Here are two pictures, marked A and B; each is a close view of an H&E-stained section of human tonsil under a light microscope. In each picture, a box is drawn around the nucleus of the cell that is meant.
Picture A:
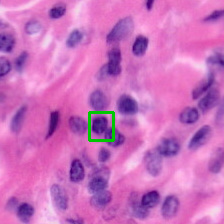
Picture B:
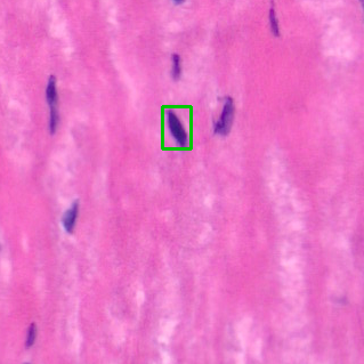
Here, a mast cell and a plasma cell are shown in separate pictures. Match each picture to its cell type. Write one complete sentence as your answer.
It is picture A that shows a plasma cell, and picture B that shows a mast cell.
